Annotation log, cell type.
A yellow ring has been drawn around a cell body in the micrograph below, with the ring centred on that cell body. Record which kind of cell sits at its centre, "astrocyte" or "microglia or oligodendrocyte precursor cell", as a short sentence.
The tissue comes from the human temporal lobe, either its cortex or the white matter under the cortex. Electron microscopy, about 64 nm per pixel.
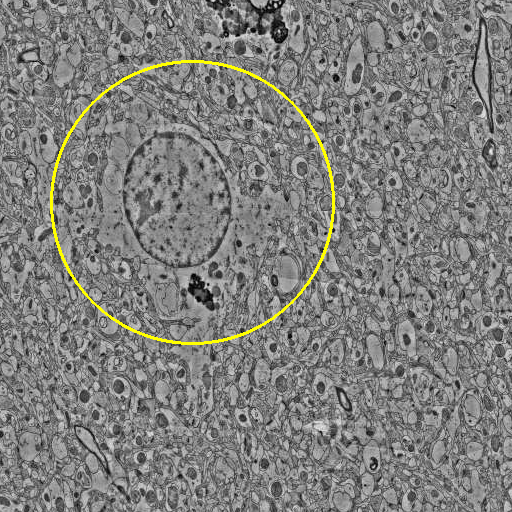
The cell at the centre of this ring is an astrocyte.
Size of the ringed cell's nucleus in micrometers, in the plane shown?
In this plane, approximately 9 by 7 micrometers.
